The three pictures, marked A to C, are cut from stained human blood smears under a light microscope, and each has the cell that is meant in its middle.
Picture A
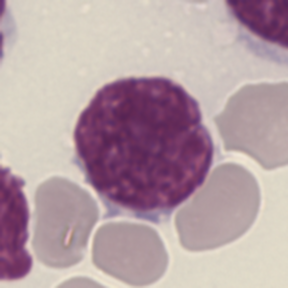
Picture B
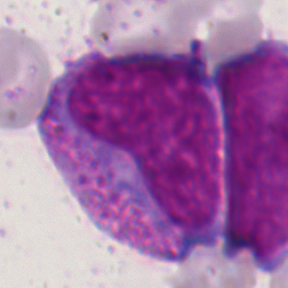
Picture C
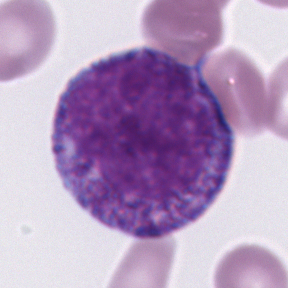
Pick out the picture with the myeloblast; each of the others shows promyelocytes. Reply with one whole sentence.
The picture with the myeloblast is A.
